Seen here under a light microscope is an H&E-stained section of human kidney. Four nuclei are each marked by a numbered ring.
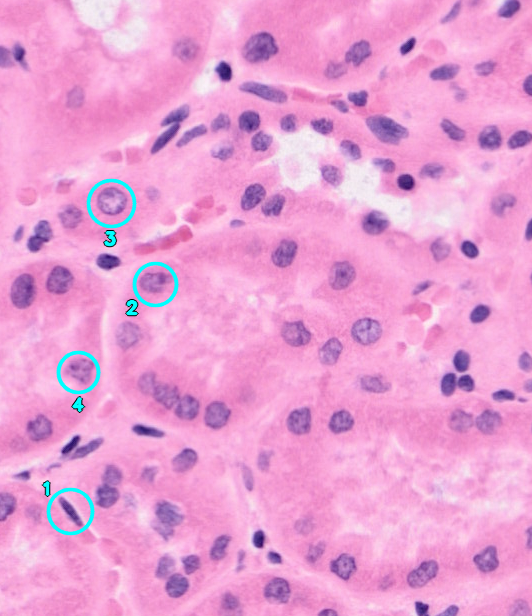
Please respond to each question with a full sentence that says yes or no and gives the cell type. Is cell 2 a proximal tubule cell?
Yes, the cell that is numbered 2 is a proximal tubule cell.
